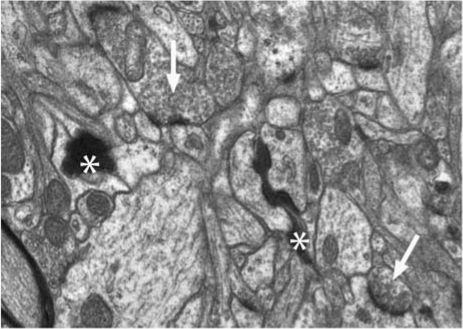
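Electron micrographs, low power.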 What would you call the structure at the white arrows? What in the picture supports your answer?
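The arrowed profiles have pale cytoplasm filled with small round vesicles. They are bounded by a clear membrane among the neuropil.
Answer: healthy (i.e. non-degenerating) synaptic profiles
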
